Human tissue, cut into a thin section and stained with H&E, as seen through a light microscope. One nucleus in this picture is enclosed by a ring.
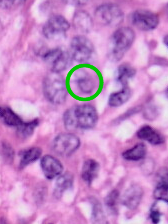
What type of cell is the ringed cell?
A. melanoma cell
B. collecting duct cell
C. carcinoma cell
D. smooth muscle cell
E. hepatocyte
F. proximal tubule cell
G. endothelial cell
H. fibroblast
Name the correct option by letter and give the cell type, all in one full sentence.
Option A is correct in that the ringed cell is a melanoma cell.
